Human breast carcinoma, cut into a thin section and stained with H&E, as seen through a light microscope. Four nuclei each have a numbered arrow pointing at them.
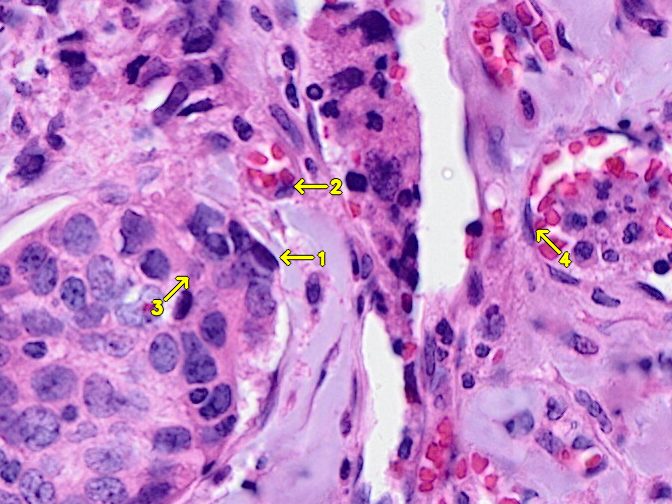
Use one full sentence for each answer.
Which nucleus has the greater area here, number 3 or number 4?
Number 4 is larger; its area is about 1.5 times that of number 3.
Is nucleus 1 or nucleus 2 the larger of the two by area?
It is nucleus 1, which covers about 2 times the area of nucleus 2.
